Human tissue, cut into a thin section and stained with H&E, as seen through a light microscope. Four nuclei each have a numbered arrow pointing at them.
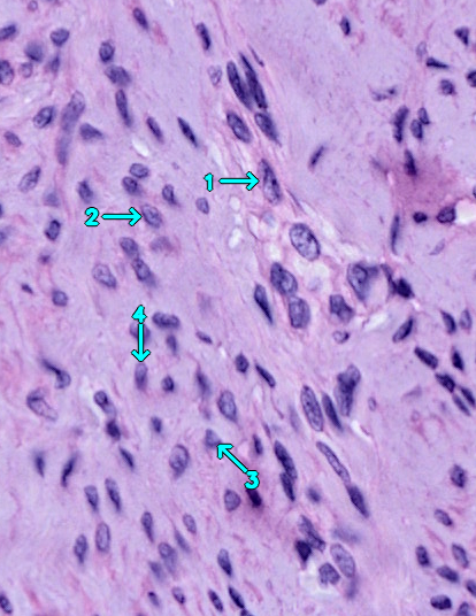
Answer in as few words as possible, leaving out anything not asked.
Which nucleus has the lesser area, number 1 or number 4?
4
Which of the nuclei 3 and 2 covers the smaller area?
3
